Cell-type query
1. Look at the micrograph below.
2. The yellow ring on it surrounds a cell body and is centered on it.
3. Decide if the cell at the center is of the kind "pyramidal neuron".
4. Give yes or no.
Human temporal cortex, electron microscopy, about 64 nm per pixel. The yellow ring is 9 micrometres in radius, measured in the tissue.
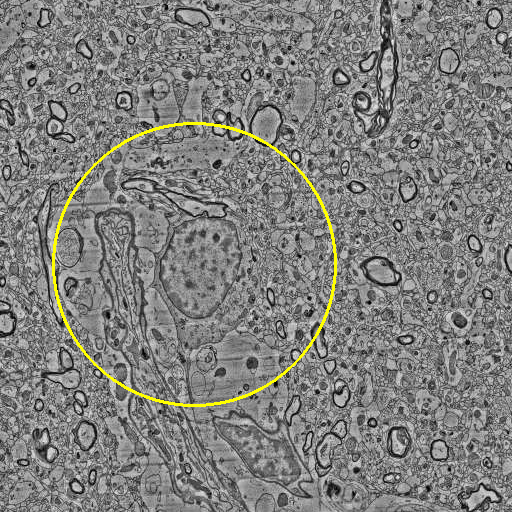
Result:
no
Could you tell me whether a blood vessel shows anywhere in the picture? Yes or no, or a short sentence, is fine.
Yes.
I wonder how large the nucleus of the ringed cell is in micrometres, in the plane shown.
In this plane the nucleus is about 7 micrometres by 5.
